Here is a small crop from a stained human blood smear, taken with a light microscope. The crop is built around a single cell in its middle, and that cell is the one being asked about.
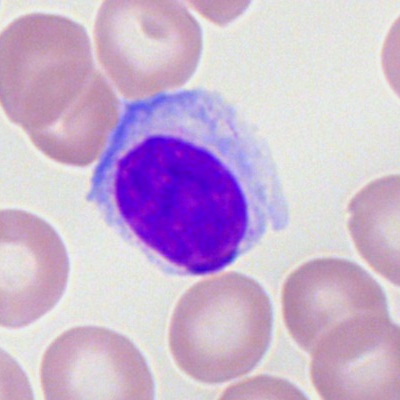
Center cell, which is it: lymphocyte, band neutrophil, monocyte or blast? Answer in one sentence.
The middle of this crop holds a lymphocyte.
